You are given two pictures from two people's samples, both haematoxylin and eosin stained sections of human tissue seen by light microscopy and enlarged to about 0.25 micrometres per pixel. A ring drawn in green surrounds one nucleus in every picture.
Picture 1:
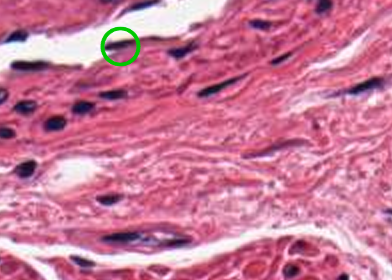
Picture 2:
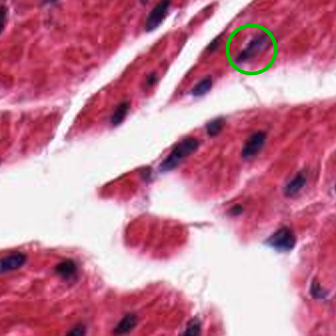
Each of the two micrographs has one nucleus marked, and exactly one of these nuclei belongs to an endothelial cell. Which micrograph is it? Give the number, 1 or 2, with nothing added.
1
